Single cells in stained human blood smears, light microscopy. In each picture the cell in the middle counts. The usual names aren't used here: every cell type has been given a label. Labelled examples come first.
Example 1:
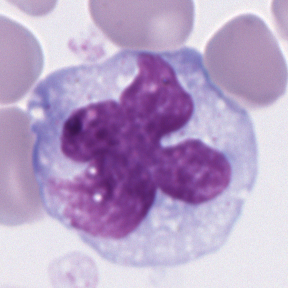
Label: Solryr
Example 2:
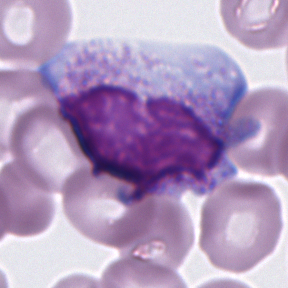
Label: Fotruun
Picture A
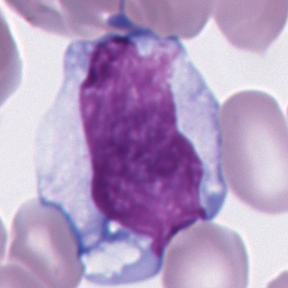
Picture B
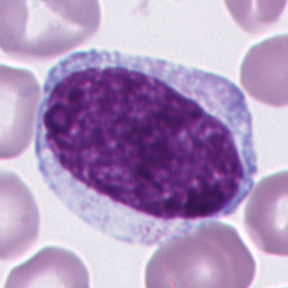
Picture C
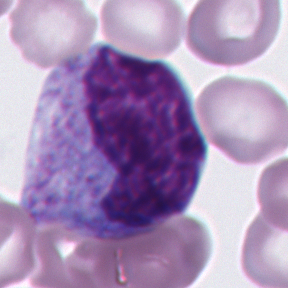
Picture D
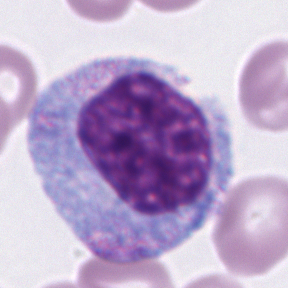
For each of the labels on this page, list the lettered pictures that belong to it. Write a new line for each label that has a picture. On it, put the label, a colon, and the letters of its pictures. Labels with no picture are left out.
Solryr: A
Fotruun: B, C, D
